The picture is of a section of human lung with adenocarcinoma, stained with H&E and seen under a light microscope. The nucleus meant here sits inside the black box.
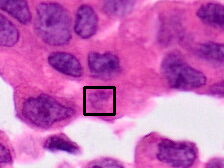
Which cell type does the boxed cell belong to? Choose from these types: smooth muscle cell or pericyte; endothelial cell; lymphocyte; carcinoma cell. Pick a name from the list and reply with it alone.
carcinoma cell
